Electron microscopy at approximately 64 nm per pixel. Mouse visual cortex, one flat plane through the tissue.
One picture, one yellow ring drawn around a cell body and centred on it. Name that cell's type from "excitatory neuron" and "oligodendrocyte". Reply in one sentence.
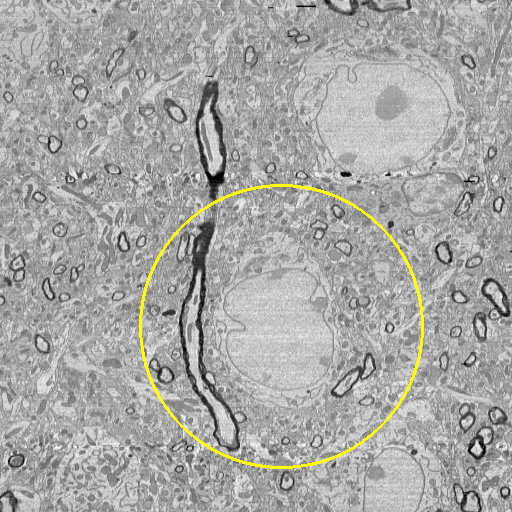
Centred in the ring is an excitatory neuron.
